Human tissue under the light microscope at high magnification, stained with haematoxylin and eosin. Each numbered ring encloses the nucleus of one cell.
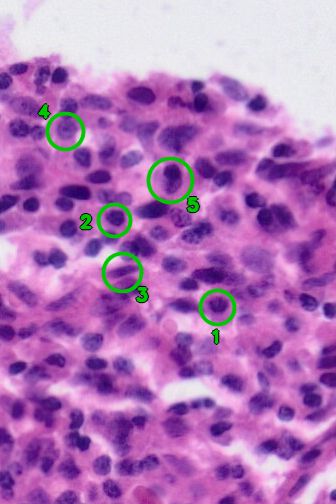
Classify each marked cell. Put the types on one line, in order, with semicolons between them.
plasma cell; plasma cell; squamous epithelial cell; plasma cell; squamous epithelial cell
